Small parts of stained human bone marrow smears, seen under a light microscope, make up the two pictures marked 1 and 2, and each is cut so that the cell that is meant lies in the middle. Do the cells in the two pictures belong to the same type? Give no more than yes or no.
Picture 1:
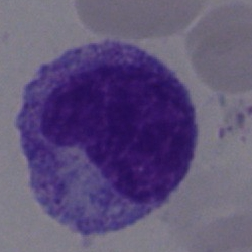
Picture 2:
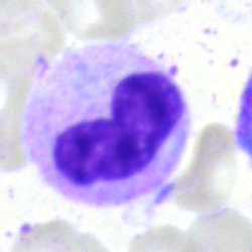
no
